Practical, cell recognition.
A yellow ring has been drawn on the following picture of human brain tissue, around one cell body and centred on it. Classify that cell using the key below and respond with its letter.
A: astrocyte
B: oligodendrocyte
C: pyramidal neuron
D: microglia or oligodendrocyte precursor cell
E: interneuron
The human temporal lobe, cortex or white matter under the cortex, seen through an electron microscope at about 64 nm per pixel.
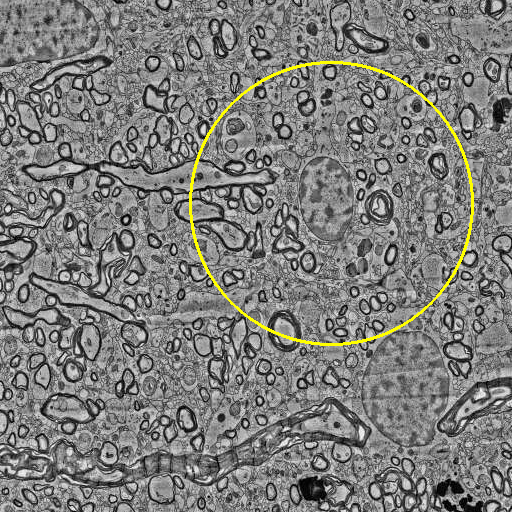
D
